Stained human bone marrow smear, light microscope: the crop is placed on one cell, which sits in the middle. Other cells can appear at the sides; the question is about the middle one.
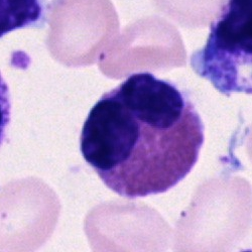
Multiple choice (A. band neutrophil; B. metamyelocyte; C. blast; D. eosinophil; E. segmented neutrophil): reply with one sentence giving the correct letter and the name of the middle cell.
The cell centered in the crop is an eosinophil, making option D the correct pick.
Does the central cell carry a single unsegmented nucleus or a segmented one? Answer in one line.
The key feature is a nucleus with multiple lobes.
